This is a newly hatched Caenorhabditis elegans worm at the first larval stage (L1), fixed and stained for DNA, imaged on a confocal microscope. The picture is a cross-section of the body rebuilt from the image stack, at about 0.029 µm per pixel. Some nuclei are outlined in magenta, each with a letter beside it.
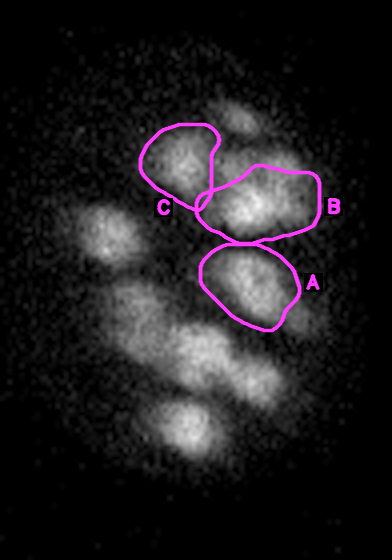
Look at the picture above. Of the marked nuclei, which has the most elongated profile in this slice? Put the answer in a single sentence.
The most elongated nucleus is B.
